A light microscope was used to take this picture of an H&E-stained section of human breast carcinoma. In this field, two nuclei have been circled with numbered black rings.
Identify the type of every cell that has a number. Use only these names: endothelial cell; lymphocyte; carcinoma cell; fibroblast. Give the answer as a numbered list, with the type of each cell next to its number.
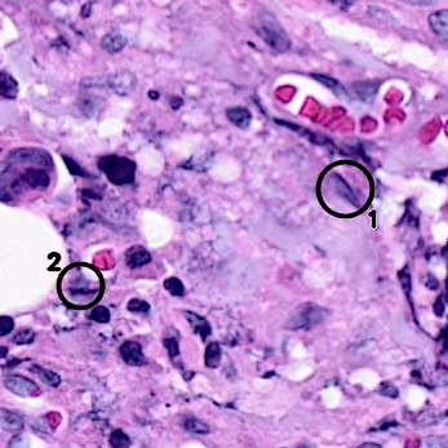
1. fibroblast
2. endothelial cell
